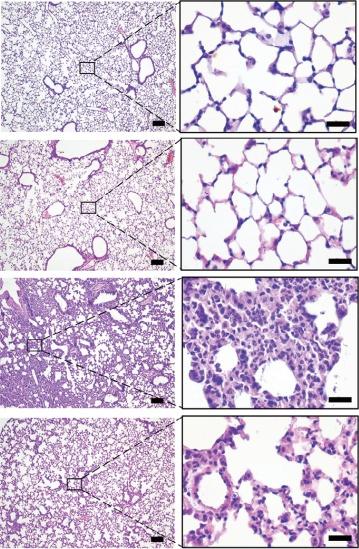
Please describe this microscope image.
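Each row pairs a low-power view of lung with an enlarged inset, stained pink with purple nuclei. In the top two rows the air spaces are wide and open, bounded by thin septa lined by flattened cells with small dark nuclei. In the third row the septa are markedly thickened and packed with many cells with purple nuclei, and the air spaces are narrowed, a picture of injured, cell-infiltrated lung. The bottom row looks intermediate, with somewhat thickened, more cellular septa but air spaces still largely open.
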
